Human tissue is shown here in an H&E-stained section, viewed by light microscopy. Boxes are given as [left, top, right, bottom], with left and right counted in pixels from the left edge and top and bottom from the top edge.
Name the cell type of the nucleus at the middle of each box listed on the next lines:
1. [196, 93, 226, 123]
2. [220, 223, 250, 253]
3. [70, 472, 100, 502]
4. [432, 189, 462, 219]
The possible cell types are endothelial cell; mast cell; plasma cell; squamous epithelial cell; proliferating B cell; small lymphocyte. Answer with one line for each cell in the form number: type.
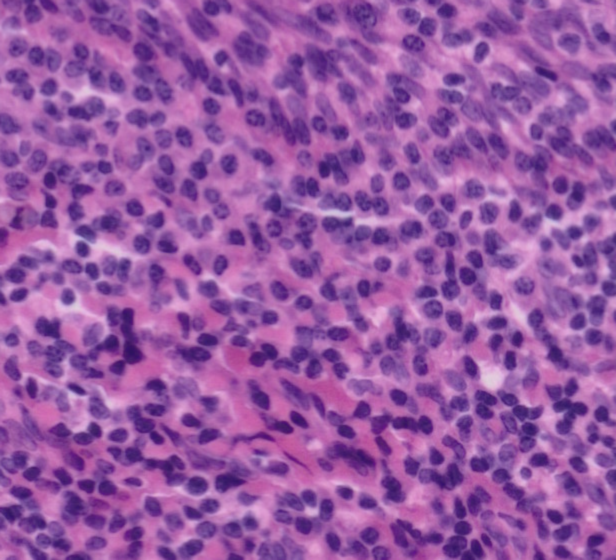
1: plasma cell
2: plasma cell
3: small lymphocyte
4: plasma cell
